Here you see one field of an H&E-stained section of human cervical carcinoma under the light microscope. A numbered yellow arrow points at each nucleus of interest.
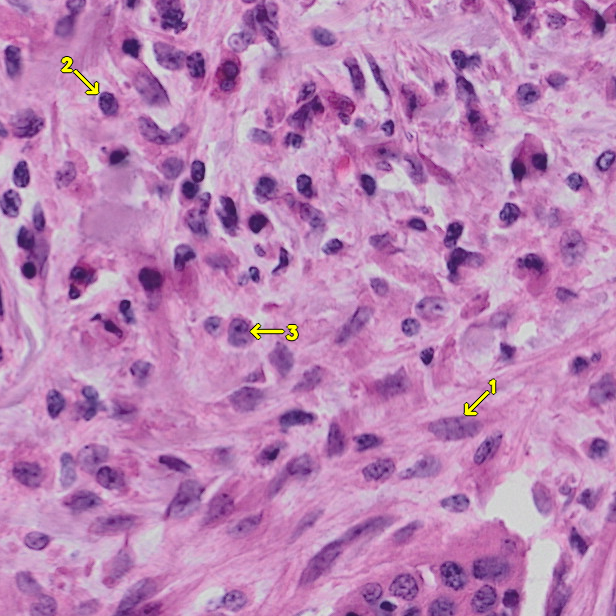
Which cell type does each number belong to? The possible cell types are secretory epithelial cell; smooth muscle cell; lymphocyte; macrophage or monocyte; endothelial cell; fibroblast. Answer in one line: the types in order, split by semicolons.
fibroblast; lymphocyte; macrophage or monocyte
